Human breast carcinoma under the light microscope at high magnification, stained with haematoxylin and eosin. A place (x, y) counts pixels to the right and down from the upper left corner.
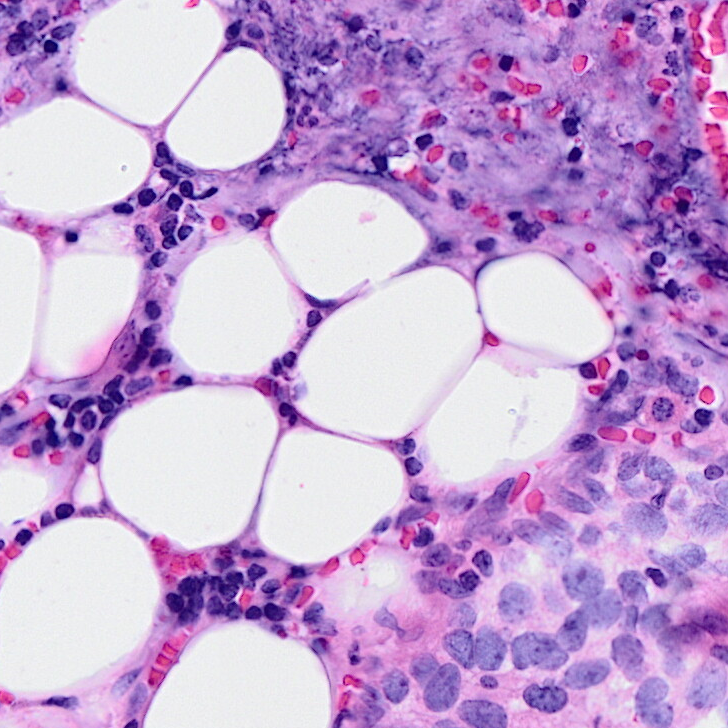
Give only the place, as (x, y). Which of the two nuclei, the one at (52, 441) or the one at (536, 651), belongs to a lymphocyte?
(52, 441)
